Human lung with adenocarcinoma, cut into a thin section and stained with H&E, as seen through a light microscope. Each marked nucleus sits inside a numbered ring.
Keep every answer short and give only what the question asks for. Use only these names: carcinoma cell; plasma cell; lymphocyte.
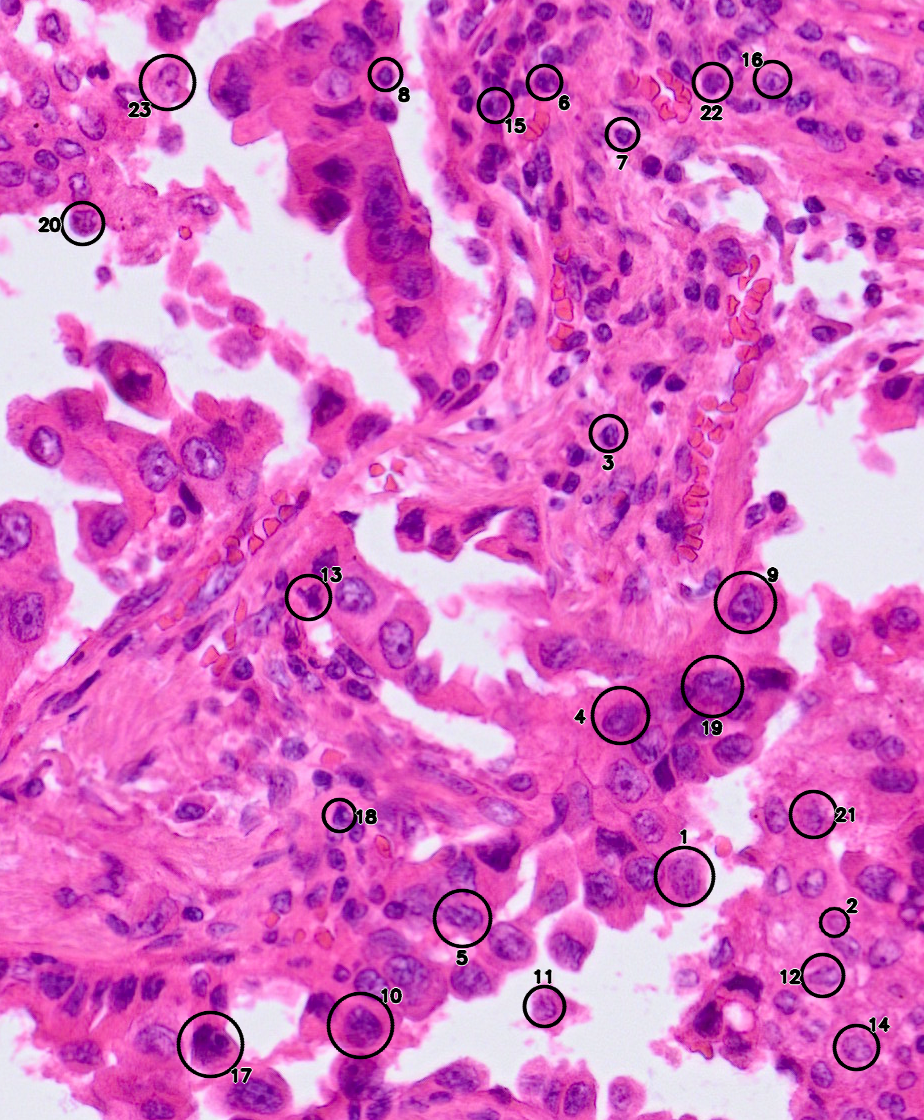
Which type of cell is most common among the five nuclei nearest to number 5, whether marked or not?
carcinoma cell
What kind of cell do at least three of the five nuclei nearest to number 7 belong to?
plasma cell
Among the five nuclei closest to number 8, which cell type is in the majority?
carcinoma cell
